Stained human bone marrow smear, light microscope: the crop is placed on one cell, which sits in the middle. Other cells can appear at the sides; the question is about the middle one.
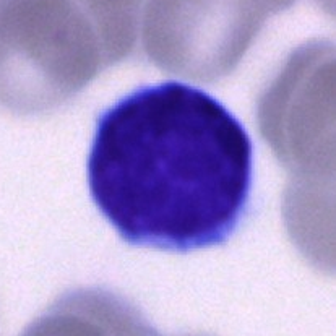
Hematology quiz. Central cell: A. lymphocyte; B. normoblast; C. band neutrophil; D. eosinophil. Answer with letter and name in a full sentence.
The cell in the centre of the crop is a lymphocyte, so option A is the correct one.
